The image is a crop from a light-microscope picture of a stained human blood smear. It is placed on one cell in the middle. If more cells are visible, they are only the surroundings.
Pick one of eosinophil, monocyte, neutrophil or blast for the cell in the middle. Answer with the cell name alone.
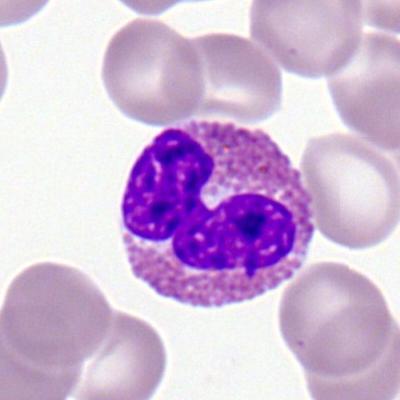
eosinophil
